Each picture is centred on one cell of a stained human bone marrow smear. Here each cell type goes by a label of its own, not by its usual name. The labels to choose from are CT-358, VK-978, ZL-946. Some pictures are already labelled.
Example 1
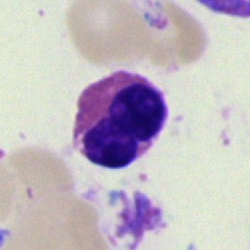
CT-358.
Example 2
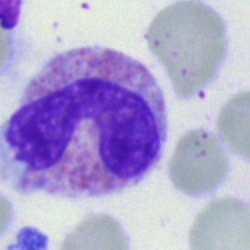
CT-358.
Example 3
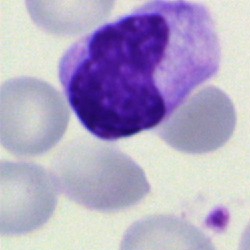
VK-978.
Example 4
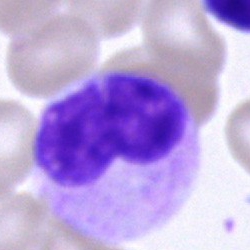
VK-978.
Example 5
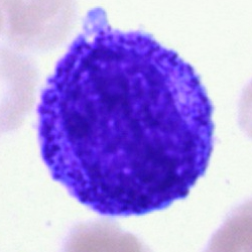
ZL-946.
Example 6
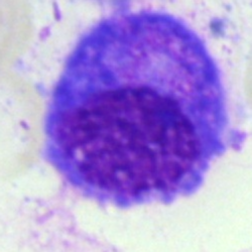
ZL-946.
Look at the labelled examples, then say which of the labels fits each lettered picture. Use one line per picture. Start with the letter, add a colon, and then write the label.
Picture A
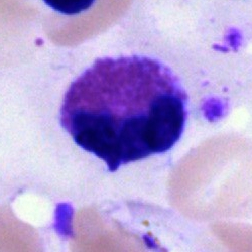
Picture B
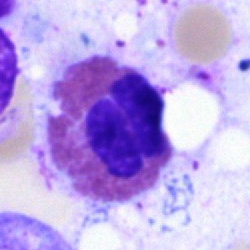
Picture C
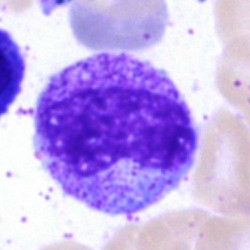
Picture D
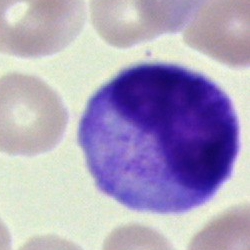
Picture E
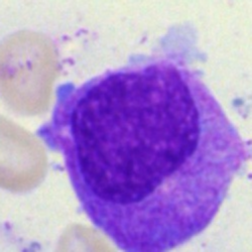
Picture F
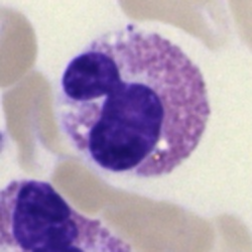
A: CT-358.
B: CT-358.
C: VK-978.
D: VK-978.
E: ZL-946.
F: CT-358.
